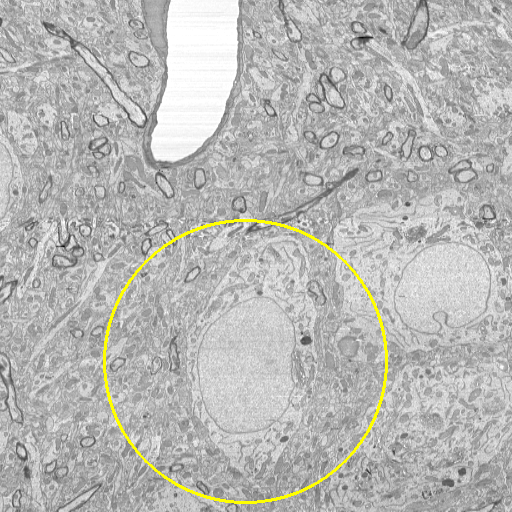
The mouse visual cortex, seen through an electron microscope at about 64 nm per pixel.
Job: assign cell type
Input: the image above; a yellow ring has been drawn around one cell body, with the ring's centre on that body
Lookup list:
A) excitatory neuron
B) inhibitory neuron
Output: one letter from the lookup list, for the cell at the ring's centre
B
